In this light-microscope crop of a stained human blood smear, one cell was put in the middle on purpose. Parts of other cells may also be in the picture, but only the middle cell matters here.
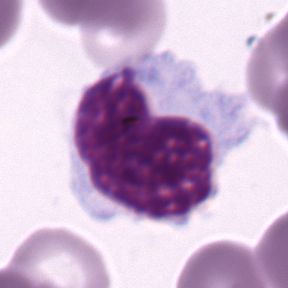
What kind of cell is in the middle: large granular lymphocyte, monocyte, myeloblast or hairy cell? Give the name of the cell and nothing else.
hairy cell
